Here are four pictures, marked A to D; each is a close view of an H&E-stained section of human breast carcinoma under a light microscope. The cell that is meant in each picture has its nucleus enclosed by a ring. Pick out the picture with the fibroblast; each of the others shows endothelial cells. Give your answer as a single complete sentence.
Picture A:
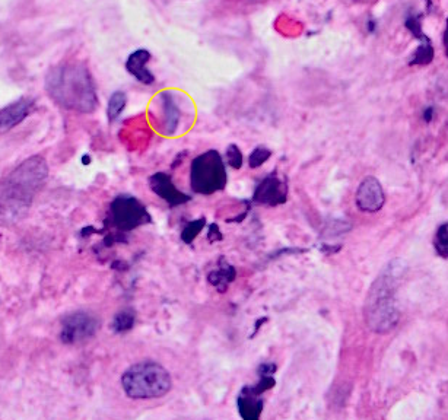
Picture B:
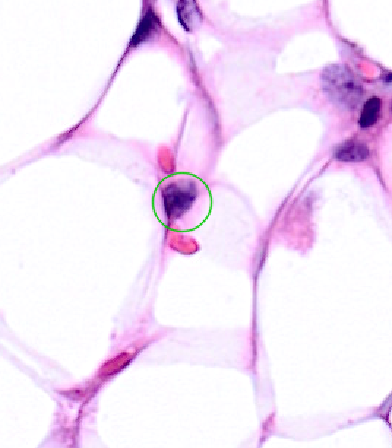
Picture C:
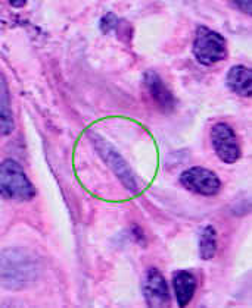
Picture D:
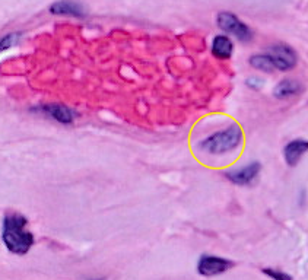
The cell in picture C is the fibroblast.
